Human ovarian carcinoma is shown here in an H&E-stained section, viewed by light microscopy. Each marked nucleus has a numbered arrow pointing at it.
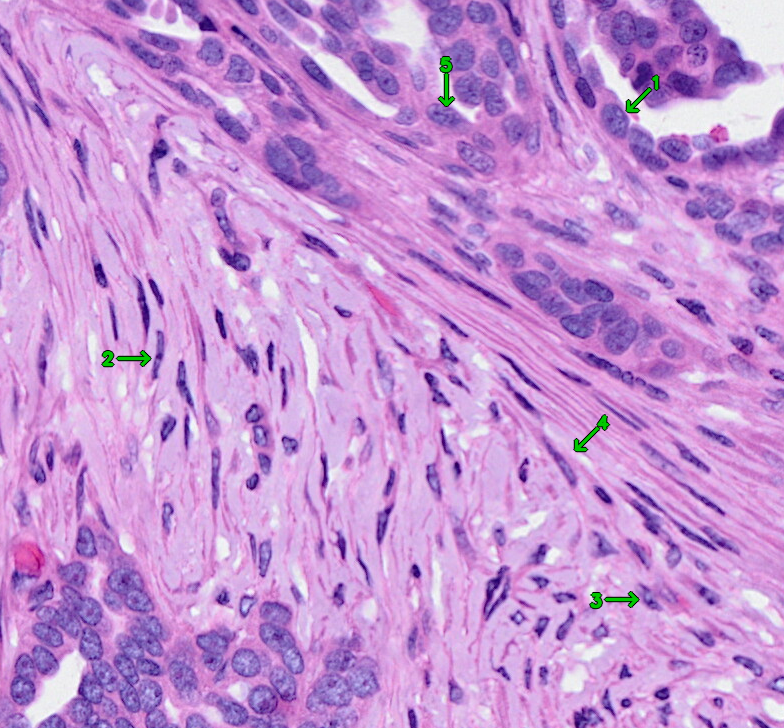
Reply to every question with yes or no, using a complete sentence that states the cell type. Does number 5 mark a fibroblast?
No, the cell indicated by 5 is a carcinoma cell instead of a fibroblast.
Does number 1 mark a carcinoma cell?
Yes, the cell identified as number 1 is a carcinoma cell.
